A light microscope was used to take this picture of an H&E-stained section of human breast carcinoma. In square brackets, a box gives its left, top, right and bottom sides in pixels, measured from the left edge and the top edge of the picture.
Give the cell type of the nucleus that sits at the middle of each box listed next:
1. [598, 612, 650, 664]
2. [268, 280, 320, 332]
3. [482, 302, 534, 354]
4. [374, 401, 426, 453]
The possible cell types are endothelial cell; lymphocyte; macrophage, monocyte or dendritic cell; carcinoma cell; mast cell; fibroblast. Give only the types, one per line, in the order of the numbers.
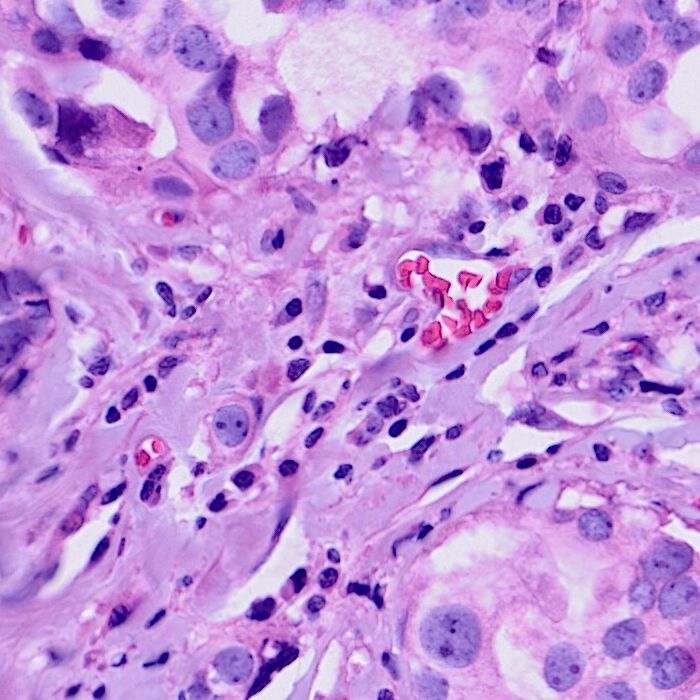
carcinoma cell
lymphocyte
lymphocyte
lymphocyte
